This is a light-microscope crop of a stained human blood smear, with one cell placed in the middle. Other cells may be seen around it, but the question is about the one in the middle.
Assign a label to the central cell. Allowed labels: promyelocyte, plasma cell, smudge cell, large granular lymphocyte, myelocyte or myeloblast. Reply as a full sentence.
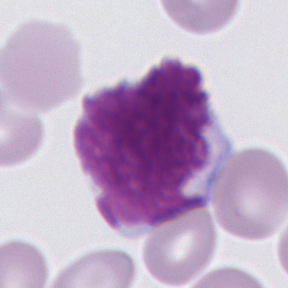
The cell at the central position in this crop is a smudge cell.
